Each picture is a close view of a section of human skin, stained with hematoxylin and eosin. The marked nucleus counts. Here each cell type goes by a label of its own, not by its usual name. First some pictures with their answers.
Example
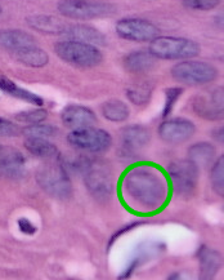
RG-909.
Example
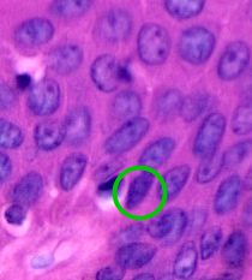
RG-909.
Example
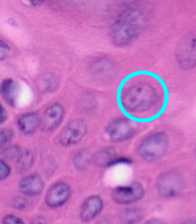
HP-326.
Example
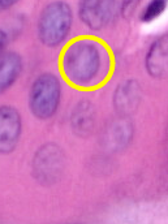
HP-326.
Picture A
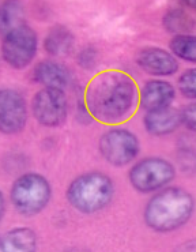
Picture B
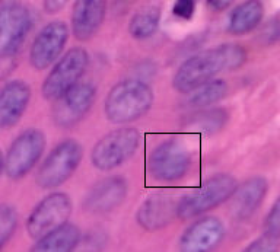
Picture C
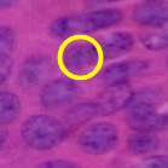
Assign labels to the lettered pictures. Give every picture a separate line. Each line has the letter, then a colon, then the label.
A: RG-909.
B: RG-909.
C: RG-909.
